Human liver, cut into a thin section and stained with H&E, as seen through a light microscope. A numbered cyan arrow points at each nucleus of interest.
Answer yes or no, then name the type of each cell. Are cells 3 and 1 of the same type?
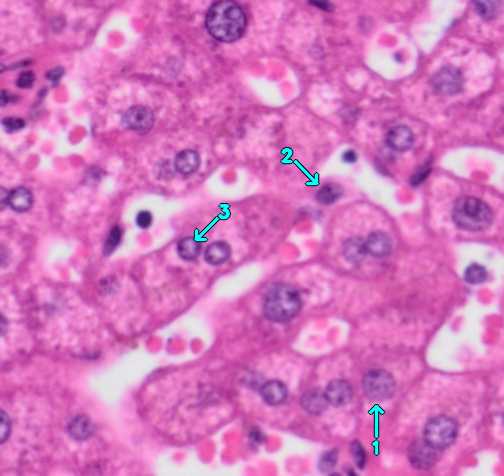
Yes, as for cells 3 and 1, both are hepatocytes.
